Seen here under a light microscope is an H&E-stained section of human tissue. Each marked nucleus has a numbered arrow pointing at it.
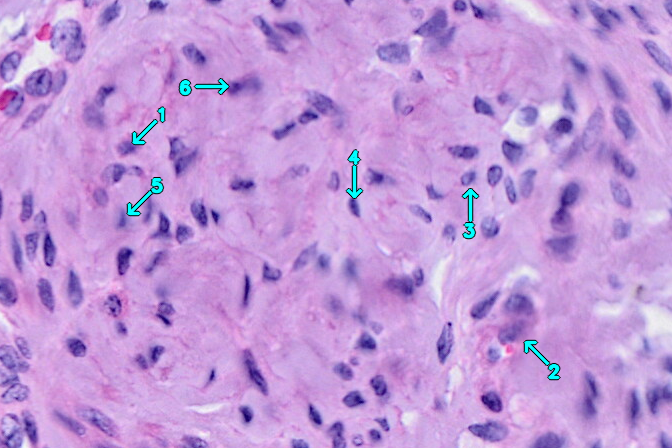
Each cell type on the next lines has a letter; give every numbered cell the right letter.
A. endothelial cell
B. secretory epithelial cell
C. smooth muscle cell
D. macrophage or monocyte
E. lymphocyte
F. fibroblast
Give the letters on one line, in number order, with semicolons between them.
C; A; F; F; F; F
